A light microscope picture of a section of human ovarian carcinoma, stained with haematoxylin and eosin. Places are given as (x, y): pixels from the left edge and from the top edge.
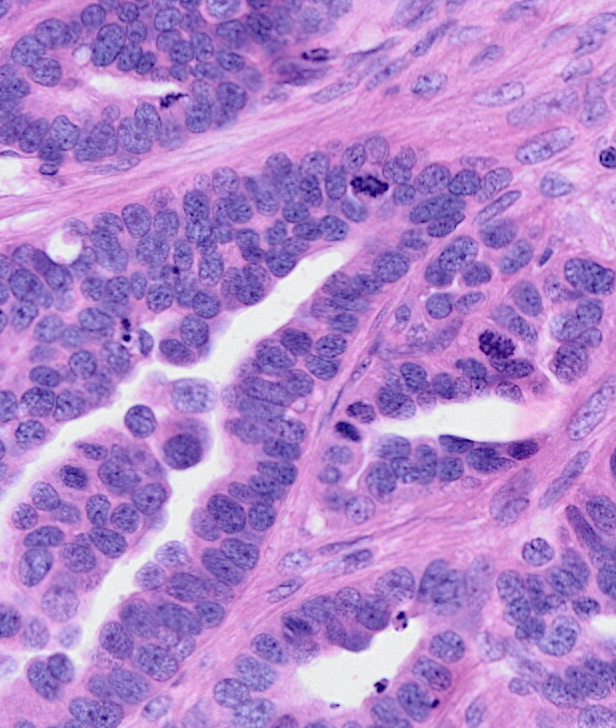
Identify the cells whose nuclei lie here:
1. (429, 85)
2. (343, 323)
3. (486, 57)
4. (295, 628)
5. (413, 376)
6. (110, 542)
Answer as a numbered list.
1. fibroblast
2. carcinoma cell
3. fibroblast
4. carcinoma cell
5. carcinoma cell
6. carcinoma cell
